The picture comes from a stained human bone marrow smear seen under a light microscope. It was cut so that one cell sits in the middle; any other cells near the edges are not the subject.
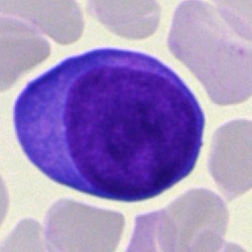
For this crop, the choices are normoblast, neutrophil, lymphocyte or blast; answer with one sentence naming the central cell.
The centrally positioned cell in the crop represents a blast.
